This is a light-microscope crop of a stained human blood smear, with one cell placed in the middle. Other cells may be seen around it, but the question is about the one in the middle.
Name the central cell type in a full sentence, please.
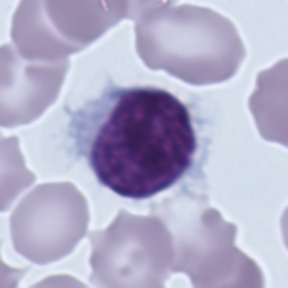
For this crop, the central cell is a hairy cell.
